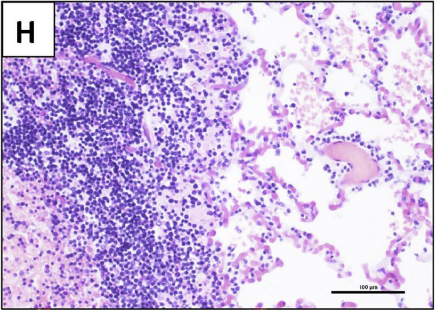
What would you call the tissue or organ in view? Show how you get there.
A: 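Thin-walled alveolar spaces at the right. A dense mass of small dark cells at the left.
Conclusion: lung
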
